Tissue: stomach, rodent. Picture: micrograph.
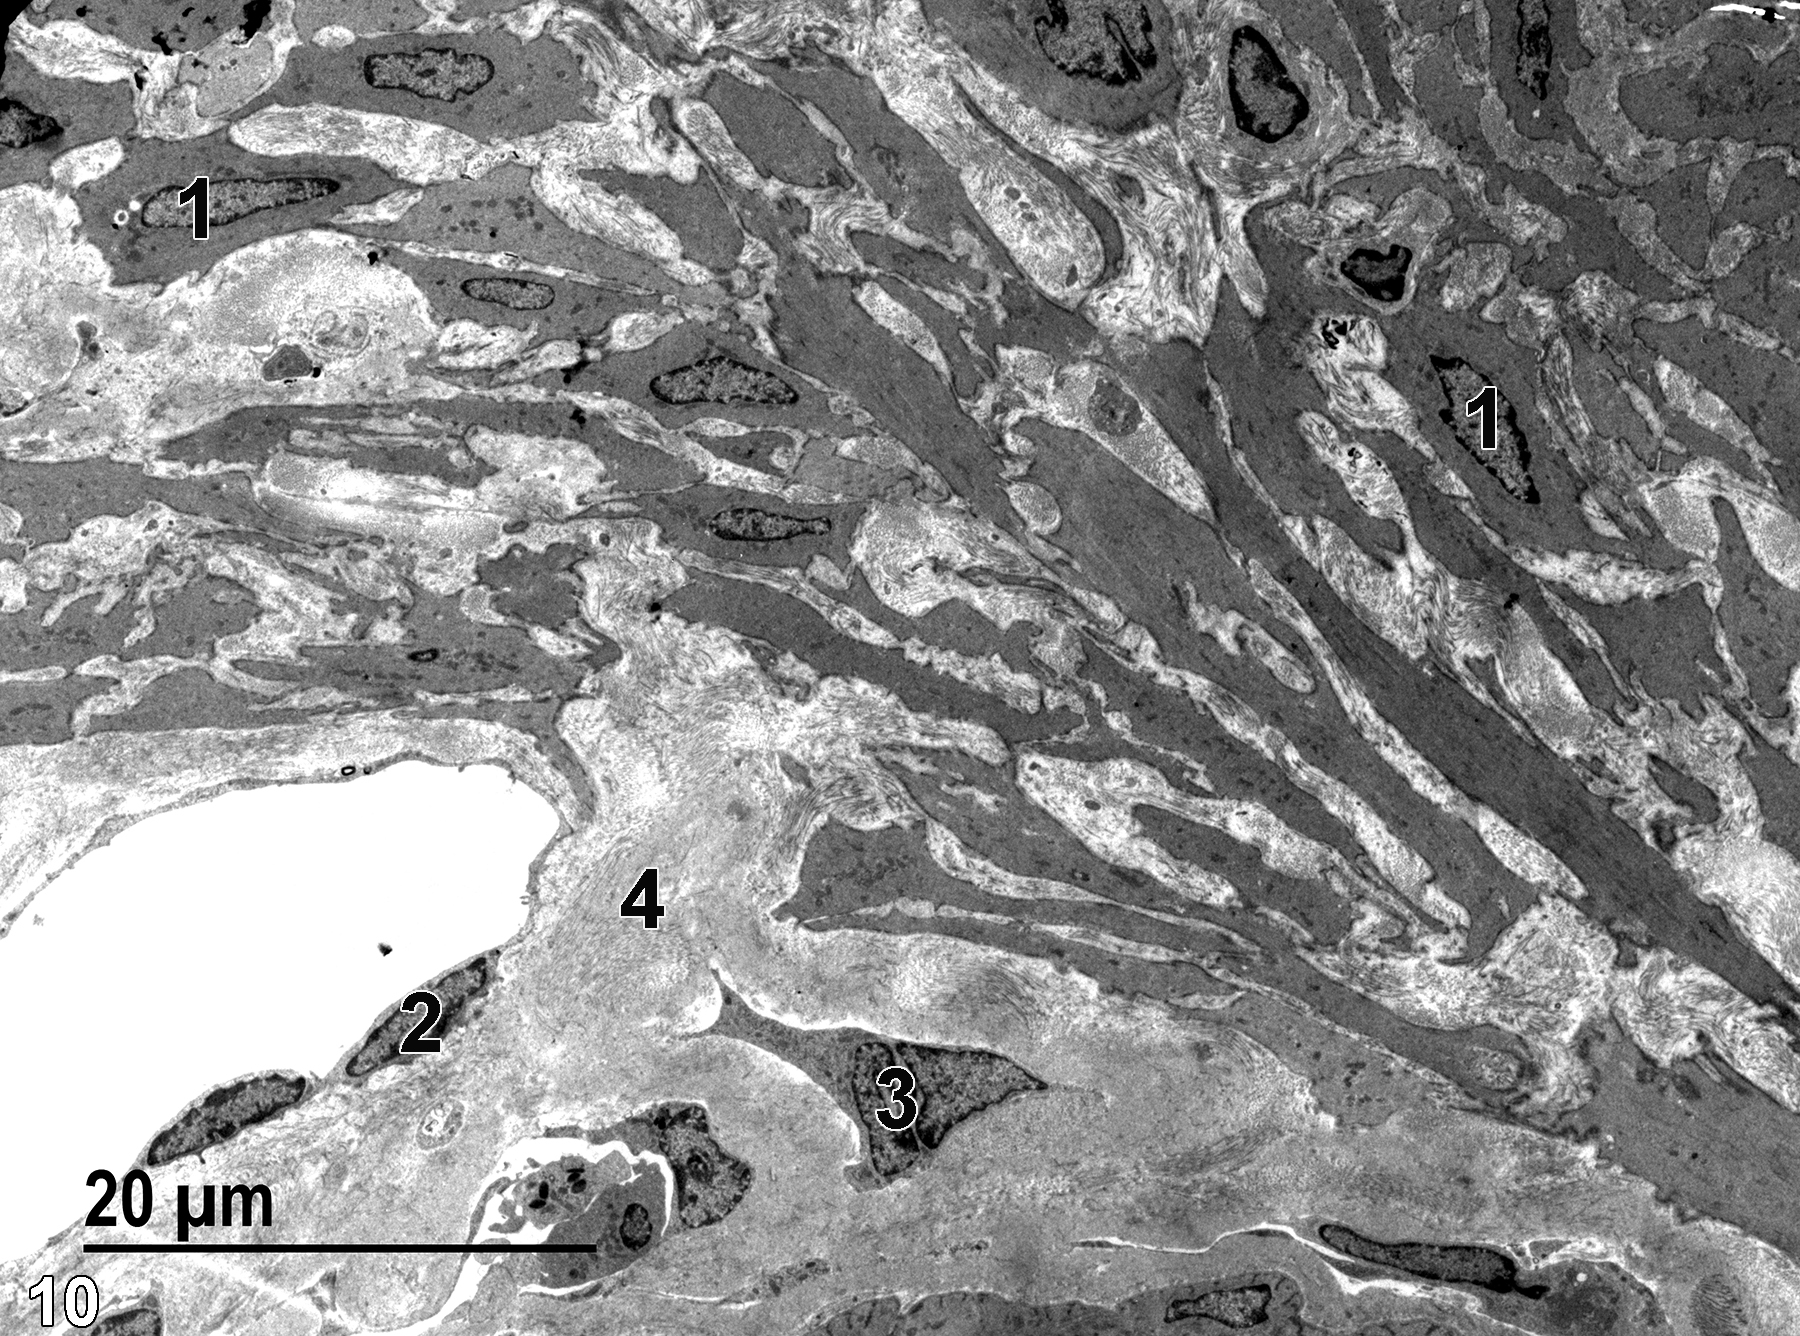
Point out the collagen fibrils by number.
4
